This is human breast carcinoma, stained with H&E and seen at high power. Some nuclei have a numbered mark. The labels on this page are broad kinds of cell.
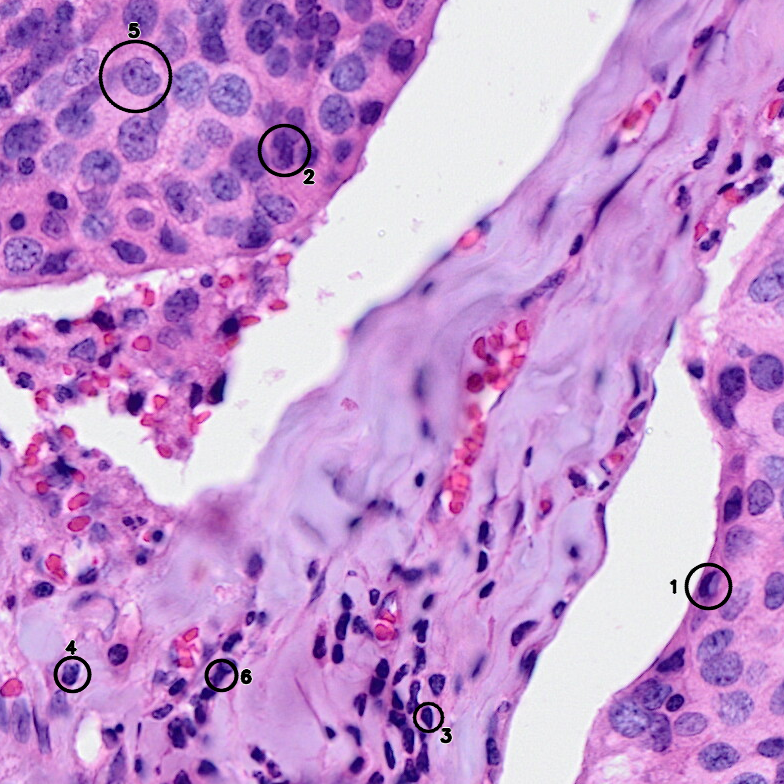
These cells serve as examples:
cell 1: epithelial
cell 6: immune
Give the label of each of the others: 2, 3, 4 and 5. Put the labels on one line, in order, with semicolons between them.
epithelial; immune; immune; epithelial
